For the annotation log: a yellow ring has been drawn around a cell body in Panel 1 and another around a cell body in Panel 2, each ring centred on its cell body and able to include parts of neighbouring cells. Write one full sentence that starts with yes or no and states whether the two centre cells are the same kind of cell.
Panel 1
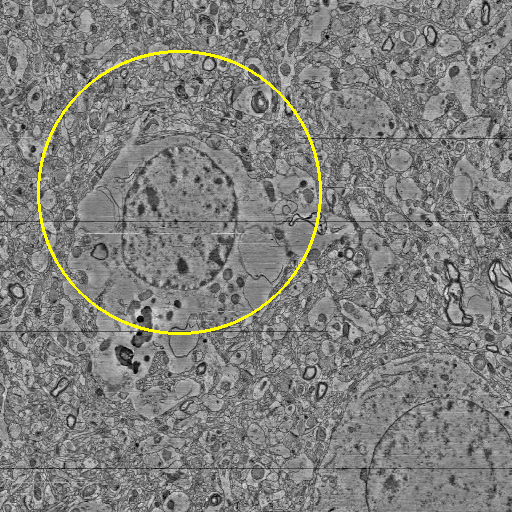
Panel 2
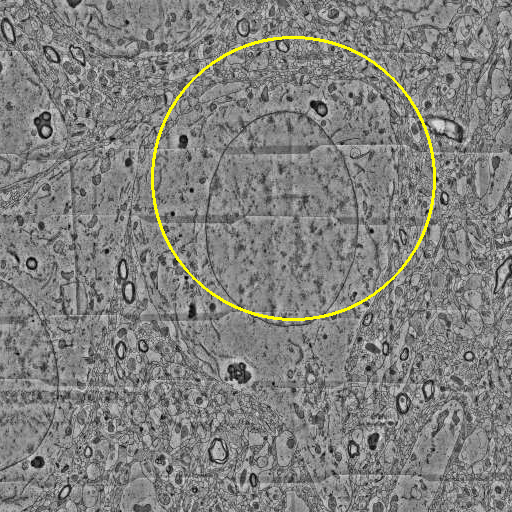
No, the two centre cells are two kinds of cell.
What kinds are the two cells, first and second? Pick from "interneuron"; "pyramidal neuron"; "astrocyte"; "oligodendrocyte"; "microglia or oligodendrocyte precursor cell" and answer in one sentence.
The second picture holds a pyramidal neuron in its ring, and the first holds an astrocyte.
